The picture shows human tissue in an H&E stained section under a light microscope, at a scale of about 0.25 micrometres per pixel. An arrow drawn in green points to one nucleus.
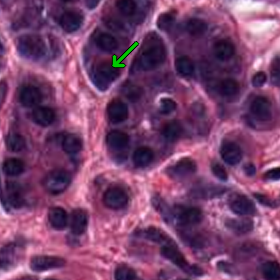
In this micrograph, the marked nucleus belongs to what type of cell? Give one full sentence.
The nucleus singled out by the mark belongs to a pancreatic acinar cell.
